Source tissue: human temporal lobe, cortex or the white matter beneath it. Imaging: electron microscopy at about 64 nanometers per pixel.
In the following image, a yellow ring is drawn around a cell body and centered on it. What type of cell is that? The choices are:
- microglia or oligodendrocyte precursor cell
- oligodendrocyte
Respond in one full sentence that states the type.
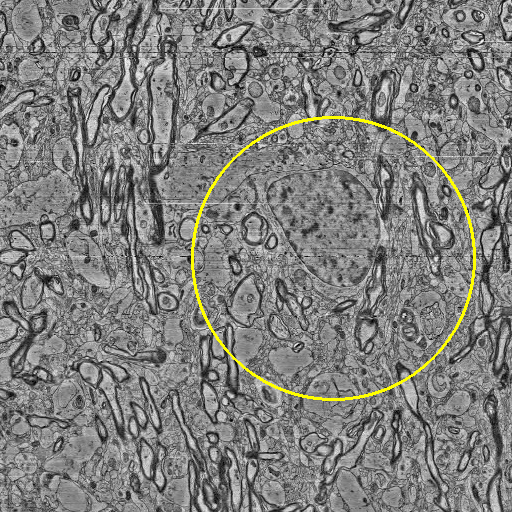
The cell at the center of the yellow ring in the image is a microglial cell or oligodendrocyte precursor cell.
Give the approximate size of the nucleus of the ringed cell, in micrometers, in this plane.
The ringed cell's nucleus measures approximately 9 by 7 micrometres in this plane.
